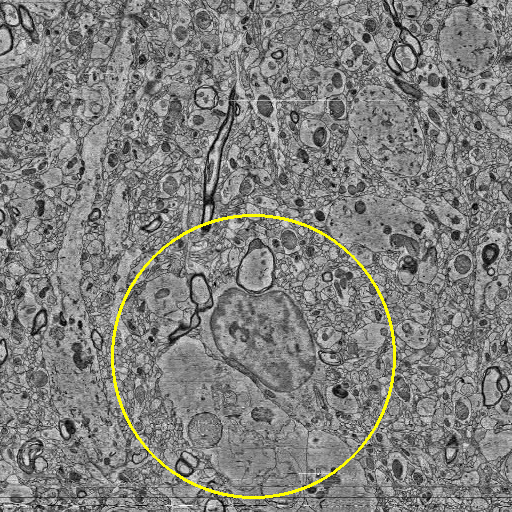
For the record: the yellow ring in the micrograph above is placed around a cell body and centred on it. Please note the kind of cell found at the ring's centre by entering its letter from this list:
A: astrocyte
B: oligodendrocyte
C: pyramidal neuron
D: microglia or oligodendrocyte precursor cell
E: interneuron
B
